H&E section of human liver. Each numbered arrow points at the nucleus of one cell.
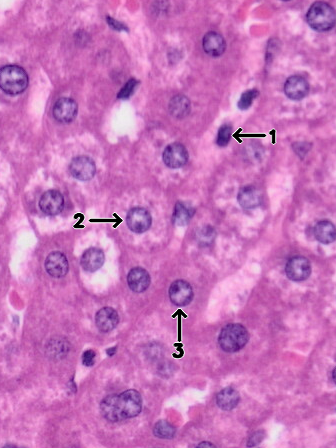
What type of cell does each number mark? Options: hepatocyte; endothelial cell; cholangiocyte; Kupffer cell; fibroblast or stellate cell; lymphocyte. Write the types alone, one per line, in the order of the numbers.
lymphocyte
hepatocyte
hepatocyte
